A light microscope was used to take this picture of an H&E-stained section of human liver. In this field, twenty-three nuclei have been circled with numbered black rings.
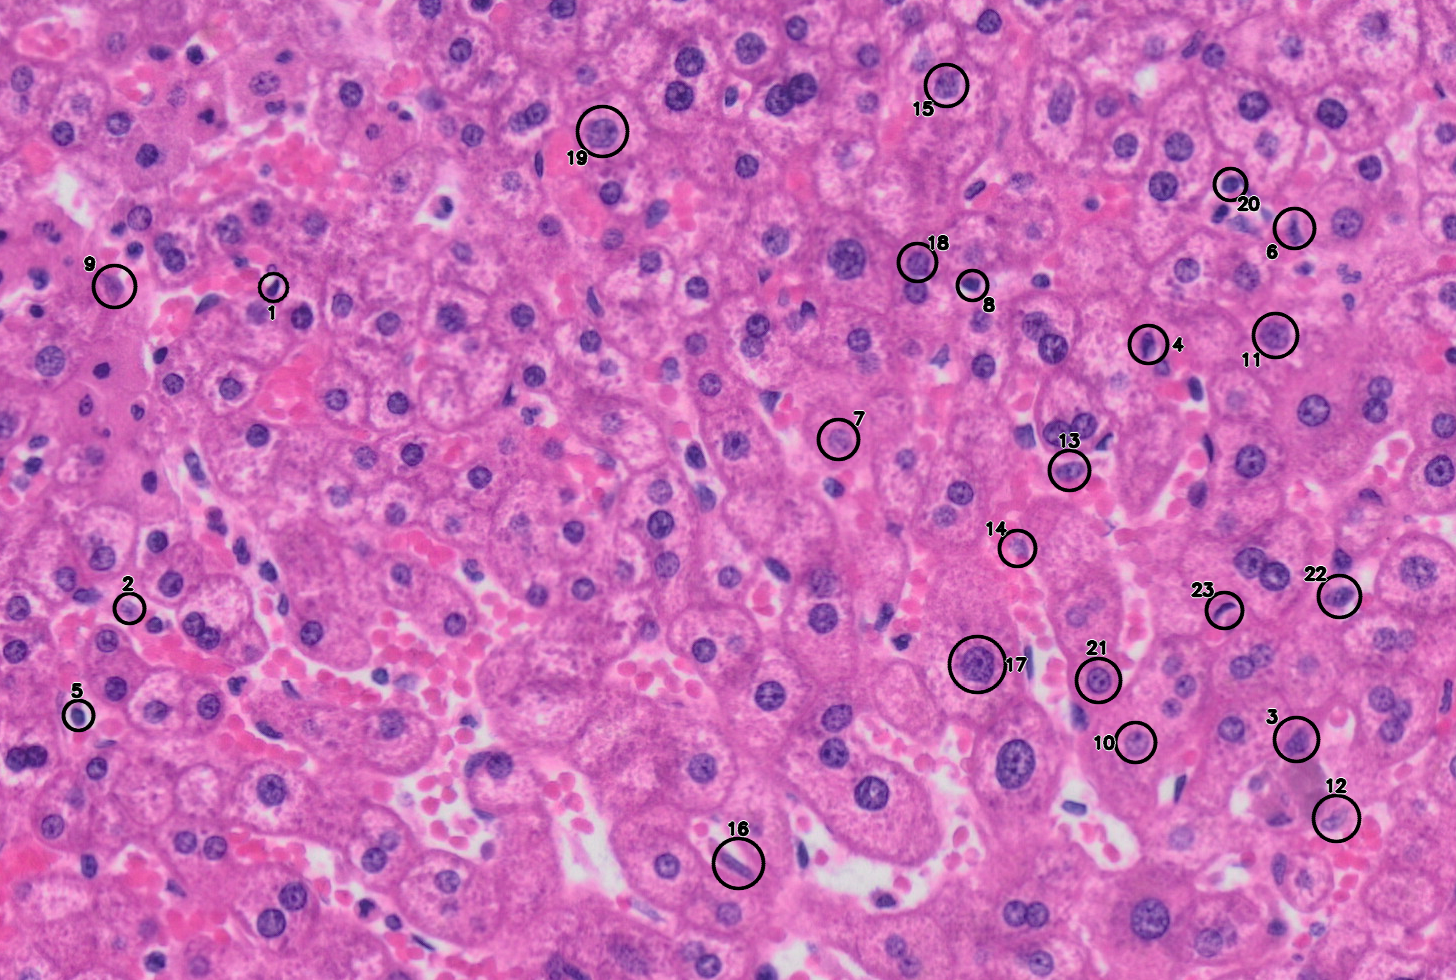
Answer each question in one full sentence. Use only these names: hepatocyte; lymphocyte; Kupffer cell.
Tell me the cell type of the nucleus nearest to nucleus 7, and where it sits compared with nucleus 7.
A lymphocyte lies closest, below nucleus 7.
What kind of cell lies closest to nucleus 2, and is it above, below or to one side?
The closest nucleus belongs to a lymphocyte and sits below and to the right of nucleus 2.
